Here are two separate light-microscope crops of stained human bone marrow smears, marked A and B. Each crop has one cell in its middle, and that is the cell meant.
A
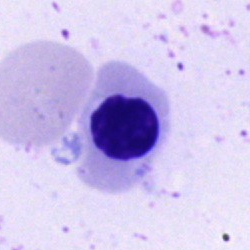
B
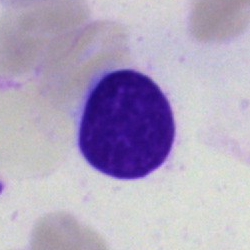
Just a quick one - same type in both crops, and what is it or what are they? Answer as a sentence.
No, look again: crop A shows an erythroblast, and crop B shows a lymphocyte.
